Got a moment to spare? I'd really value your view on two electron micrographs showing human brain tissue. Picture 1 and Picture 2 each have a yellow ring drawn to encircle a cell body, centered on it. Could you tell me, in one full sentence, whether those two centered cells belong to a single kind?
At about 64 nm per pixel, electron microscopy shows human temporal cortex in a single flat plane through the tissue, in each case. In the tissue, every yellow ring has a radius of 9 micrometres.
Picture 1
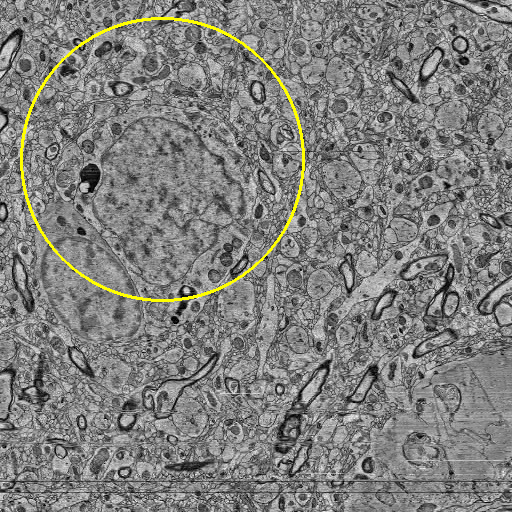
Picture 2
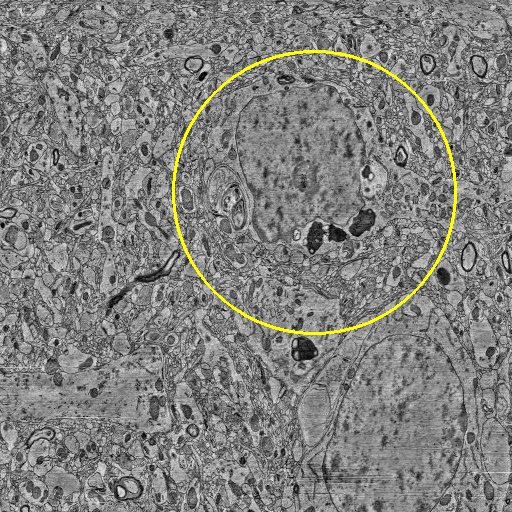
Yes, the two centered cells in Picture 1 and Picture 2 are of a single kind.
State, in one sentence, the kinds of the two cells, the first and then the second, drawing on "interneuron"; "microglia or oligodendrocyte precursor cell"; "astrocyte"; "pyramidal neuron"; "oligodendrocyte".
The first and the second cell are each an interneuron.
